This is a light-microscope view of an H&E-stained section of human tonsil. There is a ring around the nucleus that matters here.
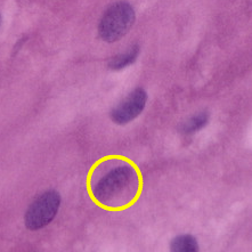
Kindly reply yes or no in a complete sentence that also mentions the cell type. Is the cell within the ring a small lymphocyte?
No, it is a squamous epithelial cell, not a small lymphocyte, that the cell within the ring represents.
